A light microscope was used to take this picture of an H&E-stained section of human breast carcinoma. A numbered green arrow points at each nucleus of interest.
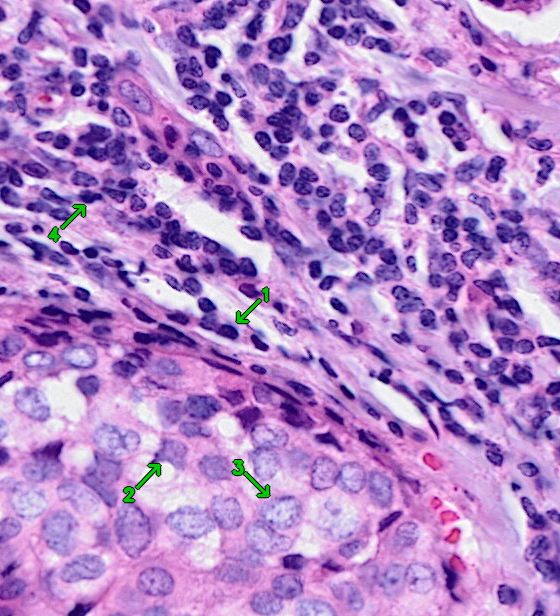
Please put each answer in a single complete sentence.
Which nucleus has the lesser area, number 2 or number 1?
Number 1 is smaller, since number 2 takes up about 2 times as much area.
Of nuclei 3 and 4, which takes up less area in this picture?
The smaller nucleus is 4, and 3 covers roughly 4 times its area.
